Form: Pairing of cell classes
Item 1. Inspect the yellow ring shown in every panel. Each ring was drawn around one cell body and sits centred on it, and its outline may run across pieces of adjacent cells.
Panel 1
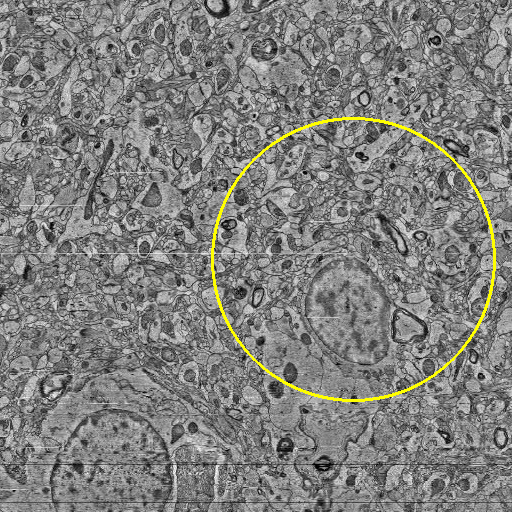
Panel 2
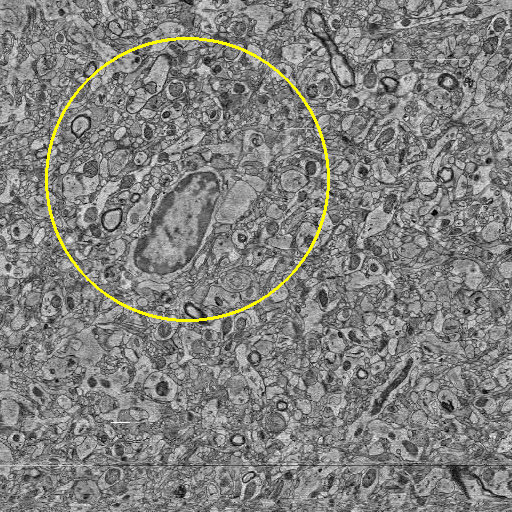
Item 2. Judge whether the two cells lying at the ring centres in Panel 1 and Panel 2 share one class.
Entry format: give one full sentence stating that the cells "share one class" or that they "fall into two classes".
The cells at the ring centres in Panel 1 and Panel 2 fall into two classes.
